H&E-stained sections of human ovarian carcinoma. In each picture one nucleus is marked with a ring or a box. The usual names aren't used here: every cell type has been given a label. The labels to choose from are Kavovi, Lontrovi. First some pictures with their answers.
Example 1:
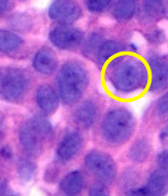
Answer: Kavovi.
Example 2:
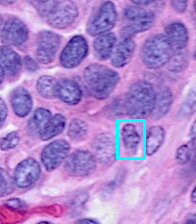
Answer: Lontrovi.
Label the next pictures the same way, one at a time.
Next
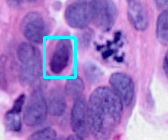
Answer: Kavovi.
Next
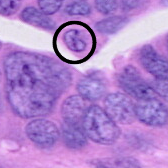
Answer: Lontrovi.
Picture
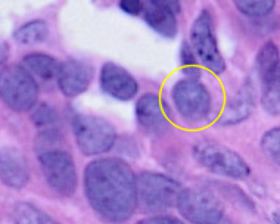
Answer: Kavovi.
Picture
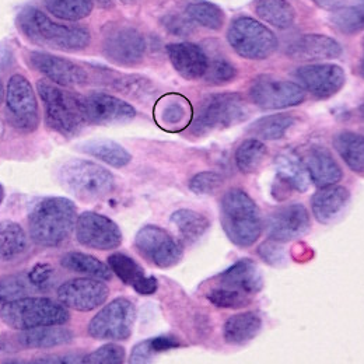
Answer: Lontrovi.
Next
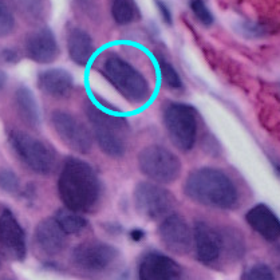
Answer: Kavovi.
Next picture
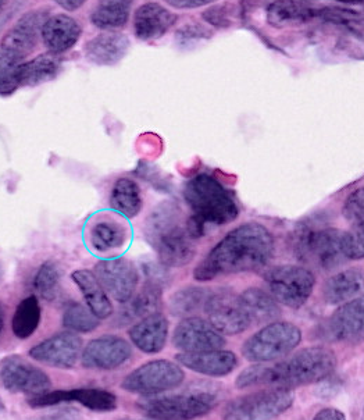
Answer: Lontrovi.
